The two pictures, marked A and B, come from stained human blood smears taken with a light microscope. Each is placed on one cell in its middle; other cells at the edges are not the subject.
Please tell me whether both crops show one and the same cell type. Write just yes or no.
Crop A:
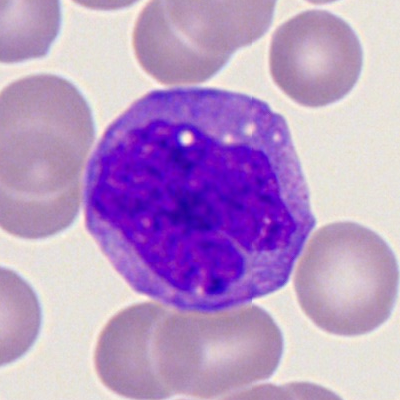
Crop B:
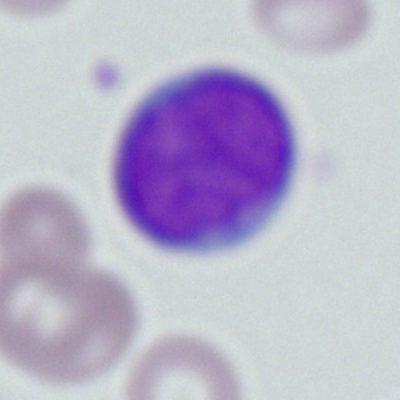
no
